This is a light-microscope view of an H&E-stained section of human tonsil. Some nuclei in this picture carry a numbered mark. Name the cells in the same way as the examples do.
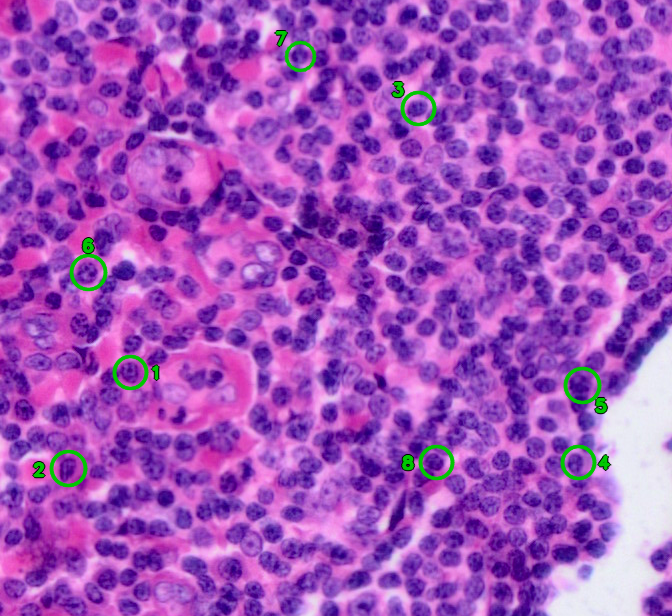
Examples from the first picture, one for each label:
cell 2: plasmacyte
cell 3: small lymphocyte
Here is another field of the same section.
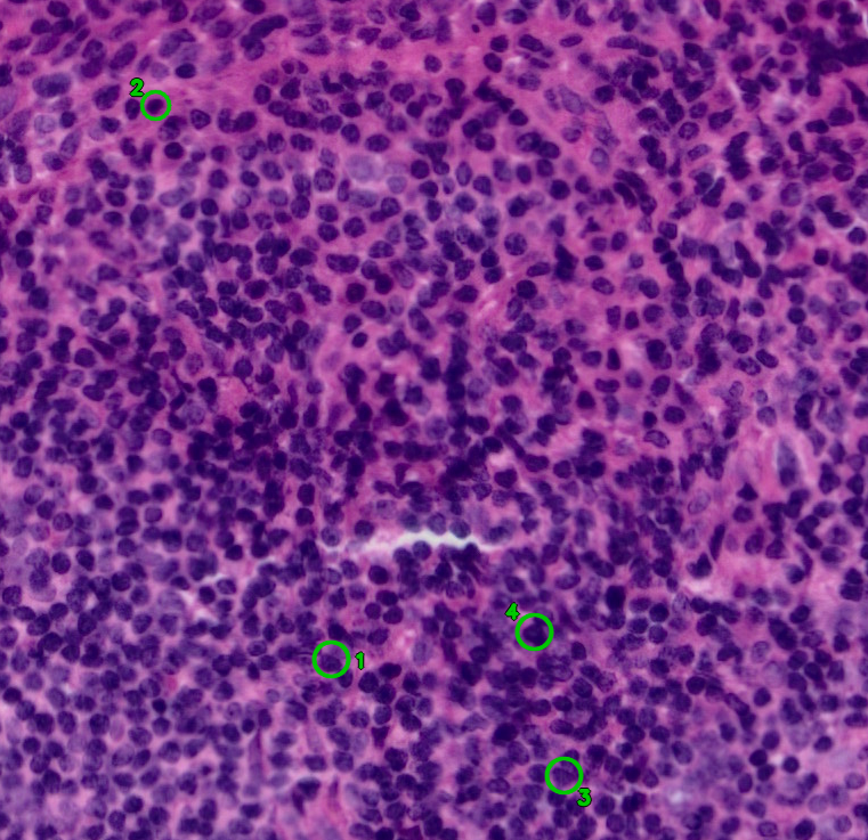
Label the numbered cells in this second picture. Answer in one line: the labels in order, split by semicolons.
small lymphocyte; plasmacyte; small lymphocyte; small lymphocyte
